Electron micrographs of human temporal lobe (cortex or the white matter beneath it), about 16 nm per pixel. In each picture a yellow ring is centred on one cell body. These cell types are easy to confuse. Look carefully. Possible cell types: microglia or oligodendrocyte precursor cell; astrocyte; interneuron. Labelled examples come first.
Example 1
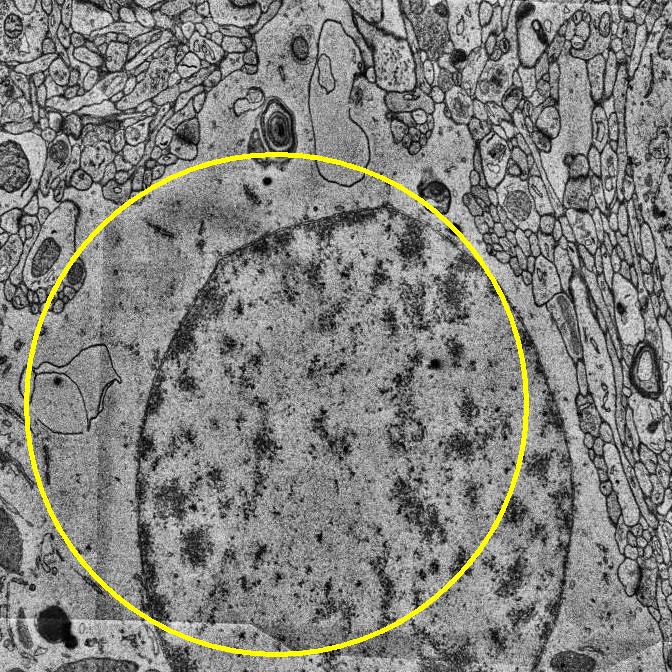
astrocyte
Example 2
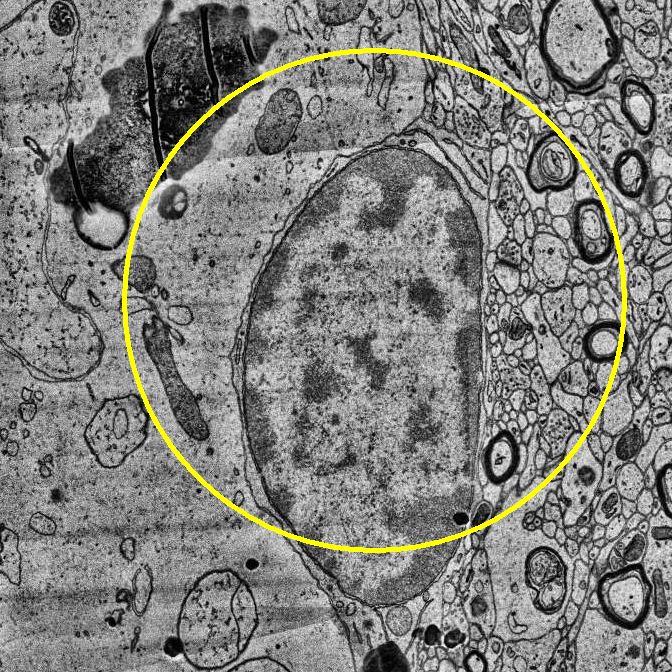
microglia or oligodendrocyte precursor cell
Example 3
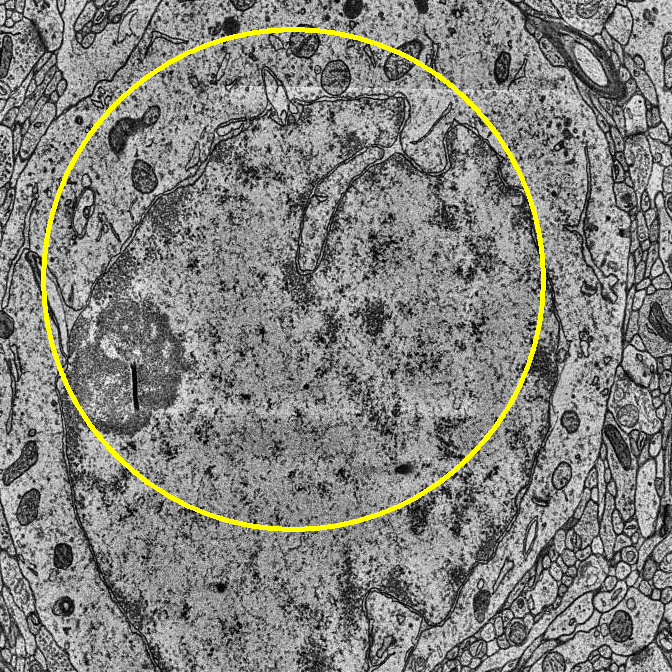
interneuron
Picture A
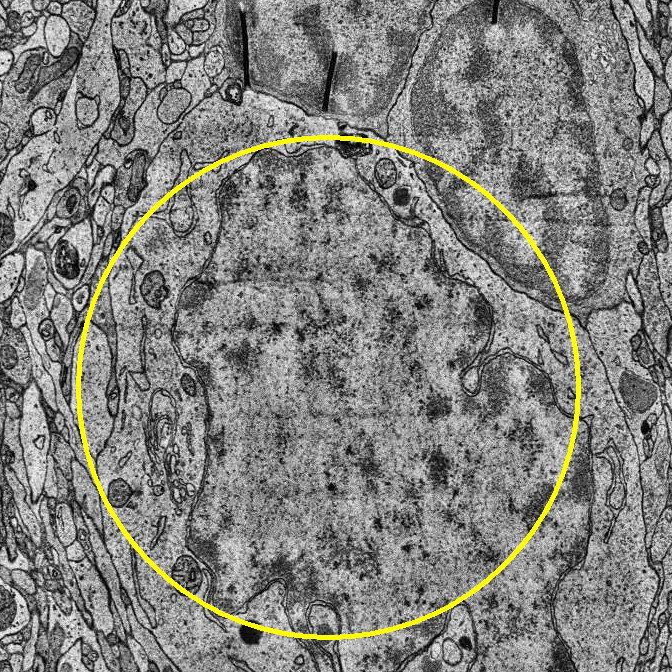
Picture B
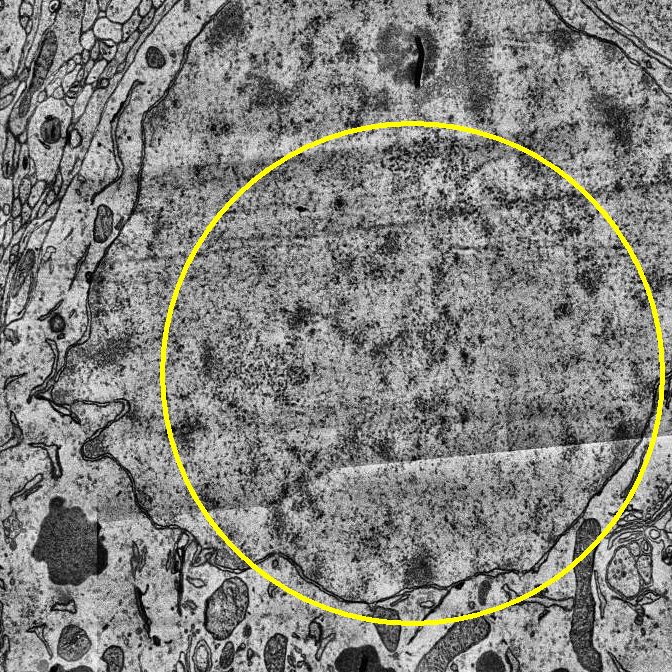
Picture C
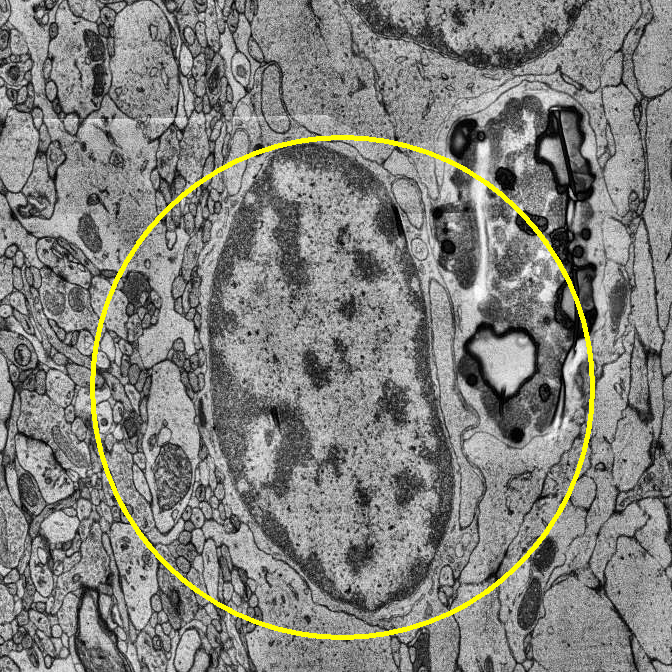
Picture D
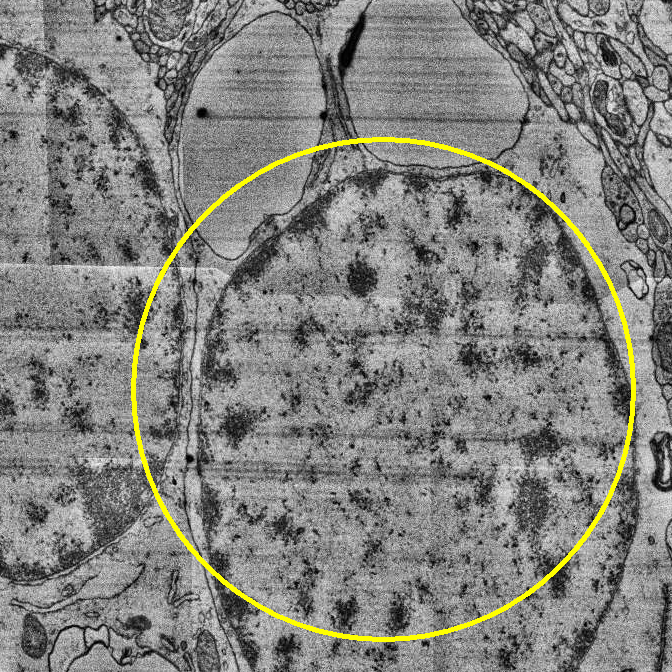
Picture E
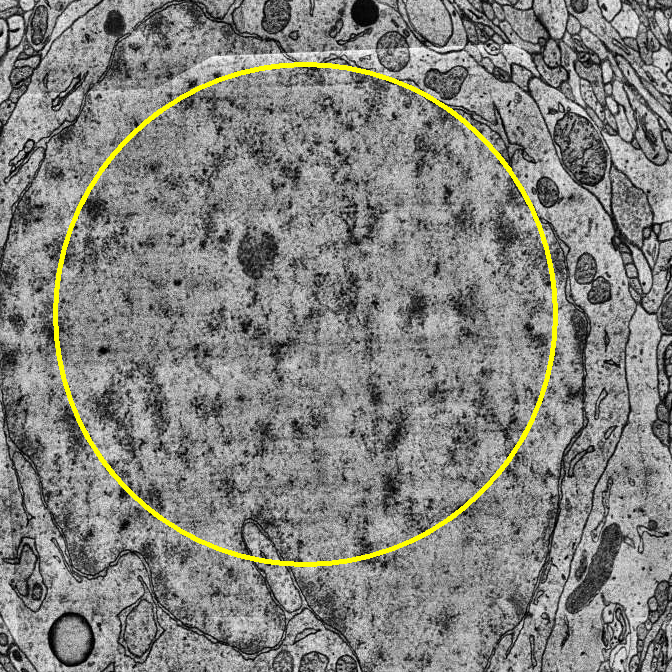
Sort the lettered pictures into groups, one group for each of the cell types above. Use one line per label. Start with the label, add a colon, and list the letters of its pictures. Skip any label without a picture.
microglia or oligodendrocyte precursor cell: C
astrocyte: D
interneuron: A, B, E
